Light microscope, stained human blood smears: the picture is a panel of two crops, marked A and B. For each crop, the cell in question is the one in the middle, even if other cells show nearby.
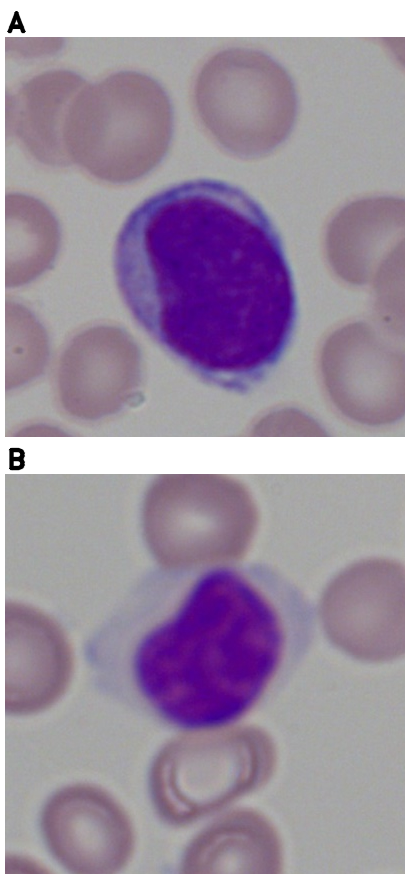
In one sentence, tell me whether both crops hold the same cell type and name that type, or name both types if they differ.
No, crop A is where a myeloblast is shown, and crop B is where a lymphocyte is shown.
